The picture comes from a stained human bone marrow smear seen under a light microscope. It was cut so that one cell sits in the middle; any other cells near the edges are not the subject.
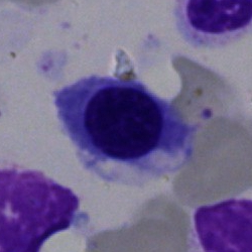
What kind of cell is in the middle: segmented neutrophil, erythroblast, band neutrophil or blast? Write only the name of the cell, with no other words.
erythroblast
